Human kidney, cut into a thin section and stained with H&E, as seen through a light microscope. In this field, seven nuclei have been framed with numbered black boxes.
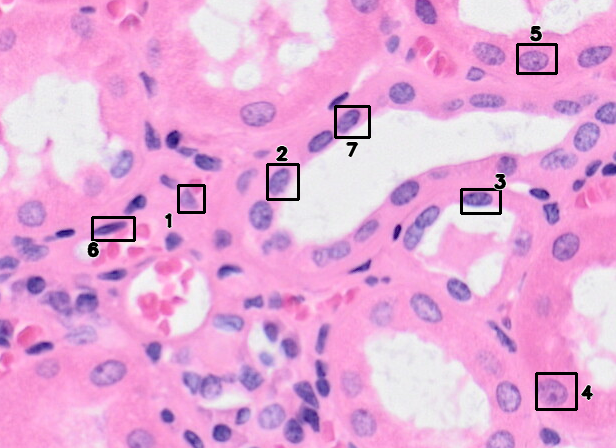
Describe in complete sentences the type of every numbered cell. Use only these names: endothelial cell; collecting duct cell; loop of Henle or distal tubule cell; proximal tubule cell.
Cell 1 is an endothelial cell, cell 2 is a collecting duct cell, cell 3 is a loop of Henle or distal tubule cell, cell 4 is a proximal tubule cell, cell 5 is a proximal tubule cell, cell 6 is an endothelial cell and cell 7 is a collecting duct cell.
